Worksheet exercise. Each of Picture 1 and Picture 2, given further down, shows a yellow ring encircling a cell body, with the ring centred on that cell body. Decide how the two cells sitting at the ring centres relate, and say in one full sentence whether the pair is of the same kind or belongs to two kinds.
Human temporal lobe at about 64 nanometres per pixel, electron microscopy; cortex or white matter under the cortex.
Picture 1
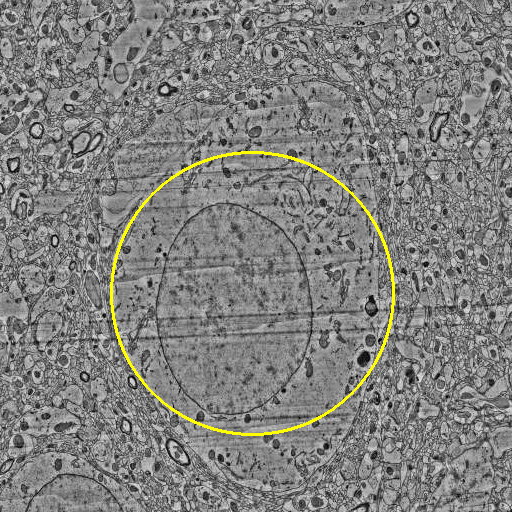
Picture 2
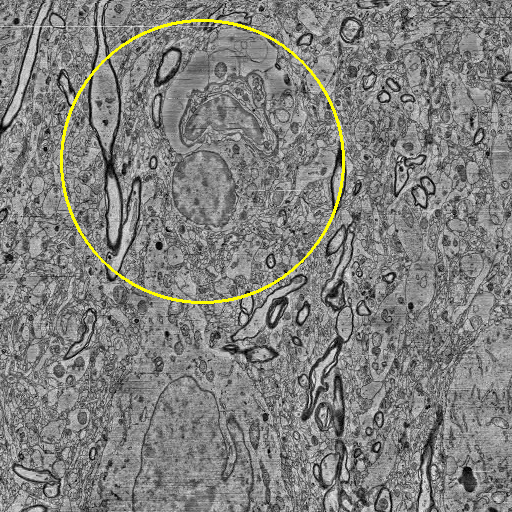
The cells at the ring centres in Picture 1 and Picture 2 belong to two kinds.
